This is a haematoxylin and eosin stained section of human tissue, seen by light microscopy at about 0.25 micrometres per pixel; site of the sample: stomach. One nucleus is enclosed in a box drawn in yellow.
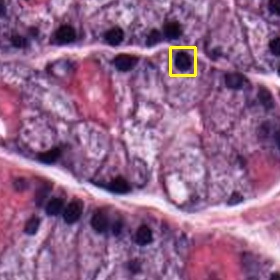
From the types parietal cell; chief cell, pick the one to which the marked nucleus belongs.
chief cell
